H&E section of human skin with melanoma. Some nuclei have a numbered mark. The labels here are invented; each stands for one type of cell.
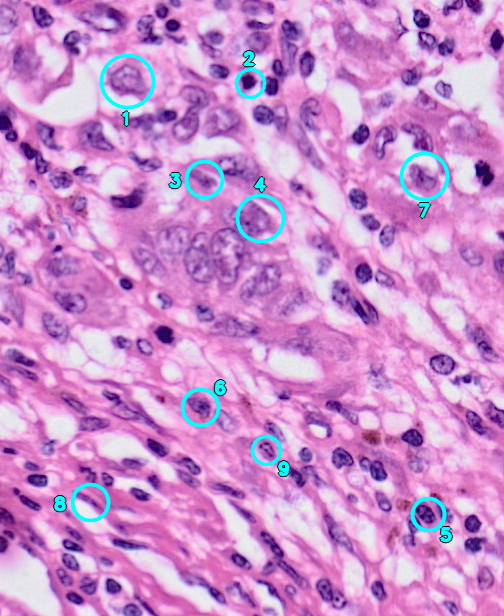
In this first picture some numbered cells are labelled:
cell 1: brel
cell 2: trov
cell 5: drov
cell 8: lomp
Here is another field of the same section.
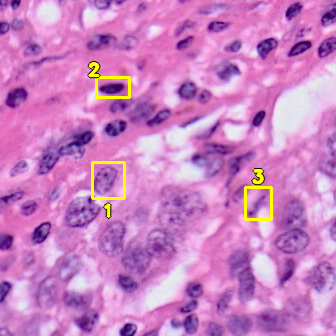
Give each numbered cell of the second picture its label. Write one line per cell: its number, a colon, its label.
1: brel
2: drov
3: lomp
